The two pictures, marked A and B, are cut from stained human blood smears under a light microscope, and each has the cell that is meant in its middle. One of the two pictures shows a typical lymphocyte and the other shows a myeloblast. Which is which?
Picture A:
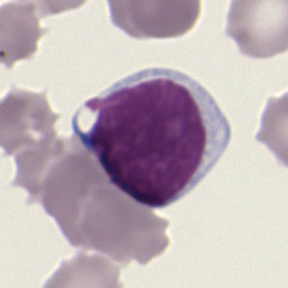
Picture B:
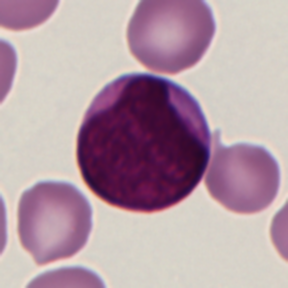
A: typical lymphocyte
B: myeloblast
